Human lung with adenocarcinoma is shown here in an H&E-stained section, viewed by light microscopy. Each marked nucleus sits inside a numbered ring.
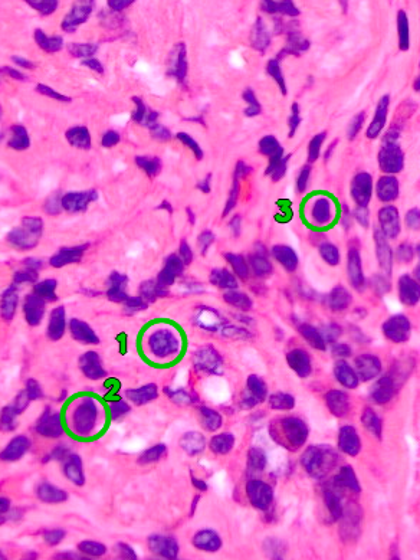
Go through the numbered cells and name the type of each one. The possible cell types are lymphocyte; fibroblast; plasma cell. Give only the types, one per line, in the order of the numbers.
lymphocyte
plasma cell
lymphocyte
